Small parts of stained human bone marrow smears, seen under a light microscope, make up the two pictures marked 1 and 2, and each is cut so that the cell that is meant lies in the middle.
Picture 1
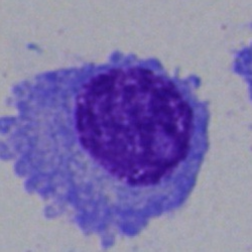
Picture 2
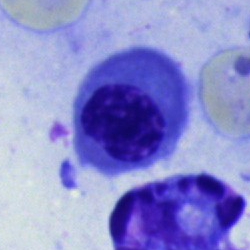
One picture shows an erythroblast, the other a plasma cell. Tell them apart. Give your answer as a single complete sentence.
Picture 2 shows an erythroblast, while picture 1 shows a plasma cell.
